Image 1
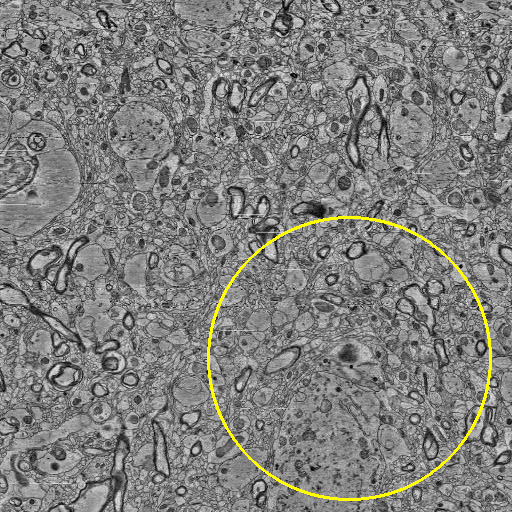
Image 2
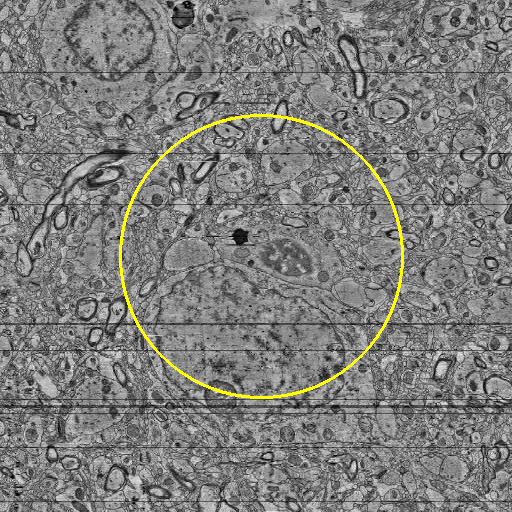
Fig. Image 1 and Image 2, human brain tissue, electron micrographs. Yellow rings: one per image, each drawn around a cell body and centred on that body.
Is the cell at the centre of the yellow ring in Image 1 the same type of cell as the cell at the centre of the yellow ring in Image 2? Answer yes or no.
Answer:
no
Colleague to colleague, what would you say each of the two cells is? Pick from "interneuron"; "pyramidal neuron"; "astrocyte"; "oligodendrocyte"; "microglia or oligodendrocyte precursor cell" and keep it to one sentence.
The cell in the first picture is a microglial cell or oligodendrocyte precursor cell; the second picture's cell is an oligodendrocyte.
